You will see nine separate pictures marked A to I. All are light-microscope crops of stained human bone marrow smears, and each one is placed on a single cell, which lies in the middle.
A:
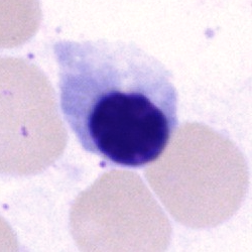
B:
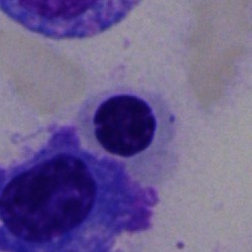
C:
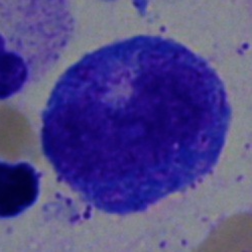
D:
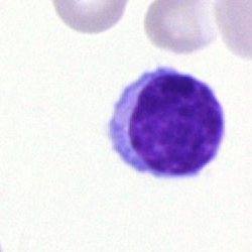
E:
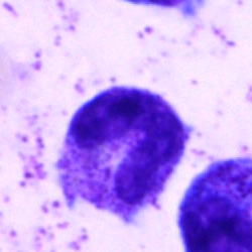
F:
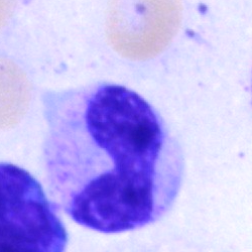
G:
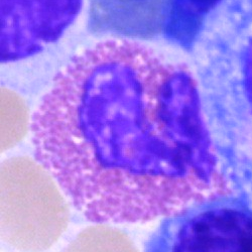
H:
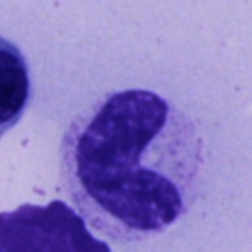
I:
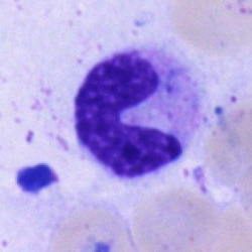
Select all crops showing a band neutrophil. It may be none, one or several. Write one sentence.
The central cells of crops E, F, H and I fall into the category of band neutrophils.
